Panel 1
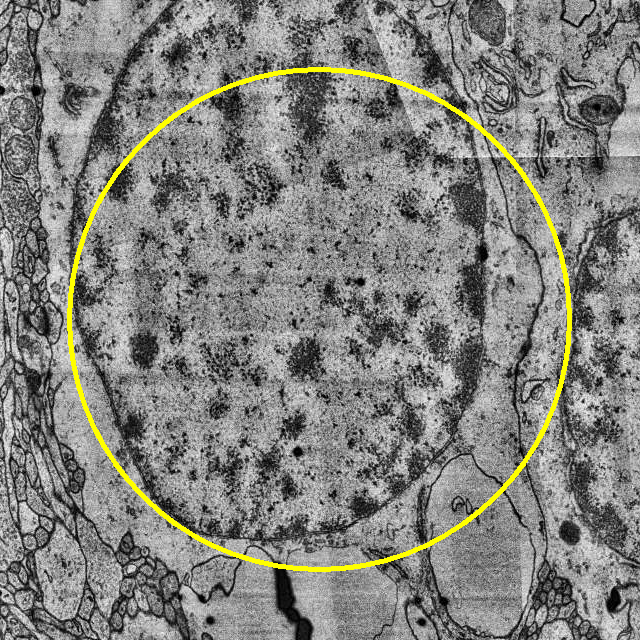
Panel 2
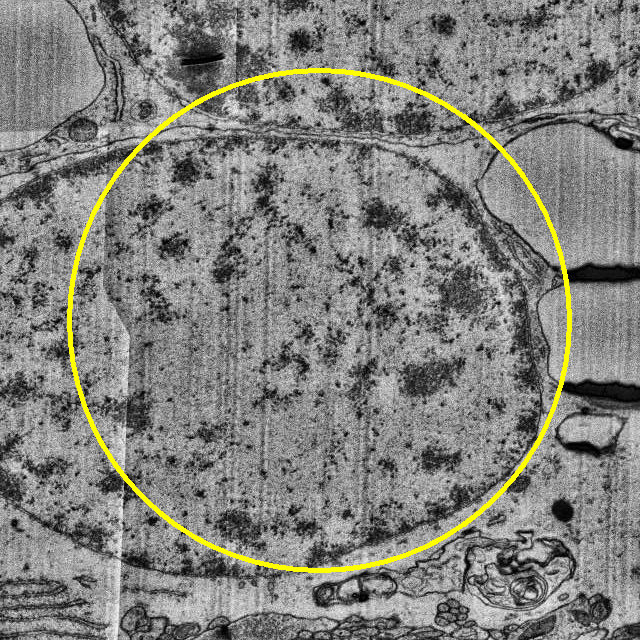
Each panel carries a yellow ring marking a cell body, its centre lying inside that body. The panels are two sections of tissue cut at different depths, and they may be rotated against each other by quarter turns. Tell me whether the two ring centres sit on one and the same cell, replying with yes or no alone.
yes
